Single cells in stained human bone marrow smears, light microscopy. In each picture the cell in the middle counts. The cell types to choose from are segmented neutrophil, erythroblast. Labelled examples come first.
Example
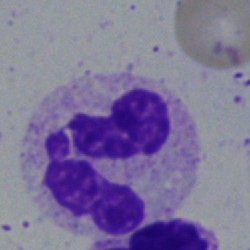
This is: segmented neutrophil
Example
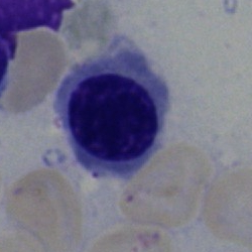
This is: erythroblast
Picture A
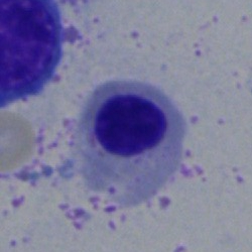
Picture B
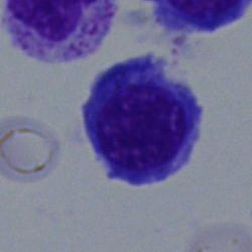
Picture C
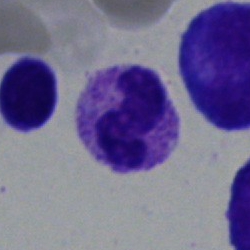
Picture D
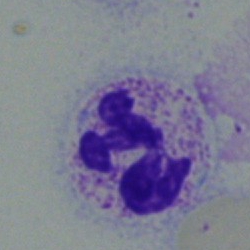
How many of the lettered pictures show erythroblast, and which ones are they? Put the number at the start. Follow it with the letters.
2: A, B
